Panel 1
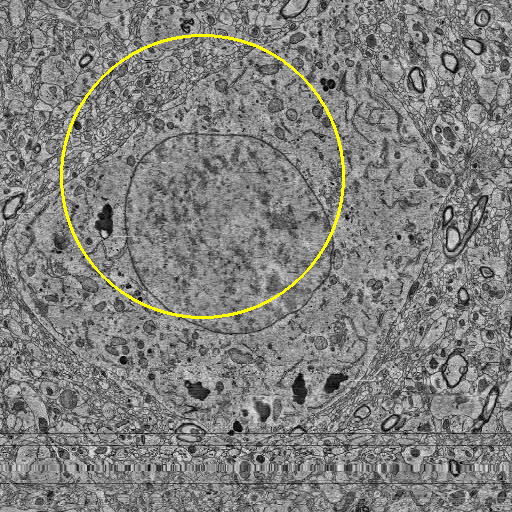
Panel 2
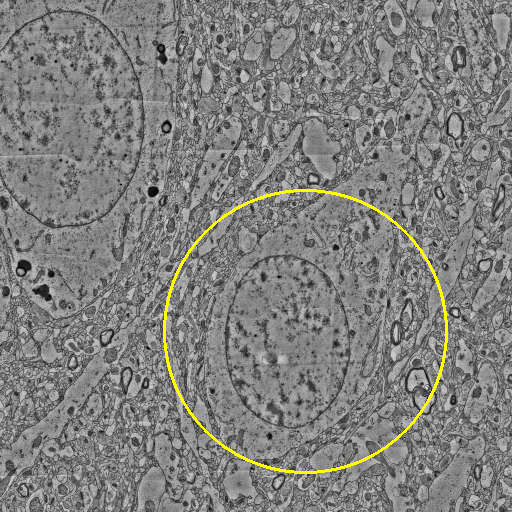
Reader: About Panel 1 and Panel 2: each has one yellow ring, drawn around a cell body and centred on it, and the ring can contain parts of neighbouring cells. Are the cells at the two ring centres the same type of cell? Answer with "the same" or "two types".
the same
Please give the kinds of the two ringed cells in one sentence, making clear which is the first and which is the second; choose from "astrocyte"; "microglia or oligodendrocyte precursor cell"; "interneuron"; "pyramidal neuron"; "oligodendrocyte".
In both pictures the ring is centred on a pyramidal neuron.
